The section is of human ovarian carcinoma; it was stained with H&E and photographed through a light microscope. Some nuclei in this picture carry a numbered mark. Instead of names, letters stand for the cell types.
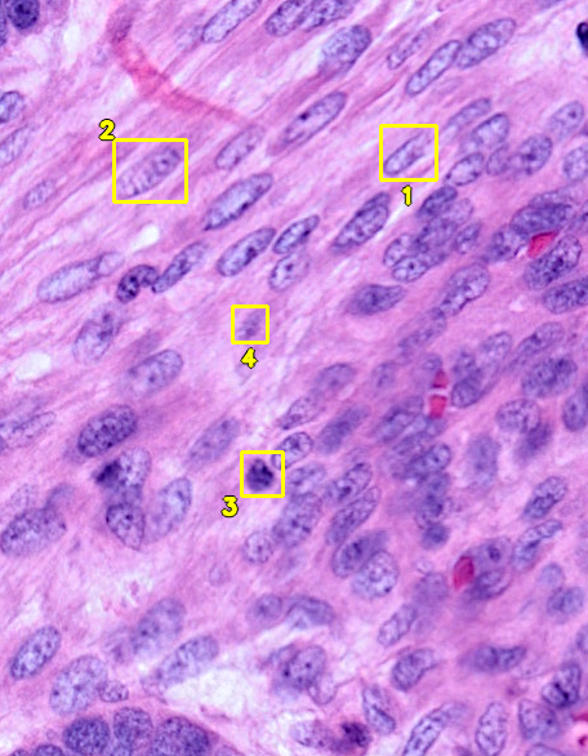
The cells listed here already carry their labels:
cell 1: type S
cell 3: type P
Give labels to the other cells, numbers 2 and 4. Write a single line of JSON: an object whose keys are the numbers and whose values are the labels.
{"2": "type S", "4": "type S"}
